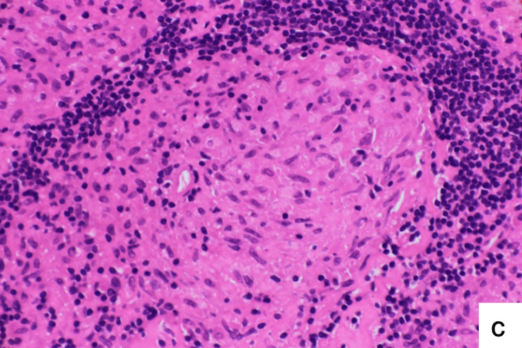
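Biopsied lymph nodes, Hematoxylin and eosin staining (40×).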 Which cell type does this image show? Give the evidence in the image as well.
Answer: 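Central cells have abundant pale pink cytoplasm with indistinct borders. Their nuclei are oval to elongated and pale, unlike the dark round lymphocyte nuclei. They lie clustered together in a nodule. The answer: epithelioid cell.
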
